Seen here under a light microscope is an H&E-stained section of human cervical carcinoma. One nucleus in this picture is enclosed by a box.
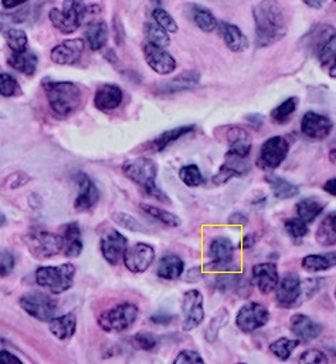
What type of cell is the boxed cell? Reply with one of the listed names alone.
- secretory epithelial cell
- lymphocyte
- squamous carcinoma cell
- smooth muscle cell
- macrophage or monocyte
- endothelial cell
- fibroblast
lymphocyte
